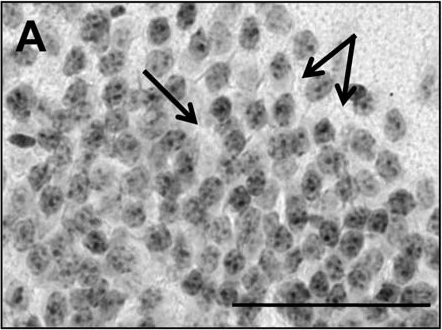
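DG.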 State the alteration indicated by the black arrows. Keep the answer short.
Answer: More space between the cells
